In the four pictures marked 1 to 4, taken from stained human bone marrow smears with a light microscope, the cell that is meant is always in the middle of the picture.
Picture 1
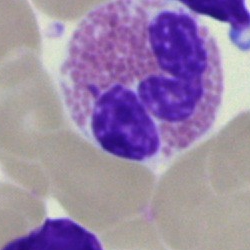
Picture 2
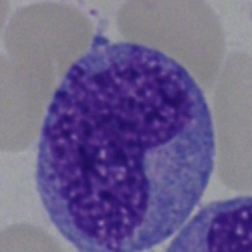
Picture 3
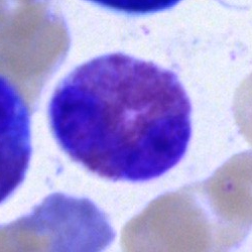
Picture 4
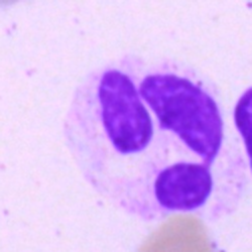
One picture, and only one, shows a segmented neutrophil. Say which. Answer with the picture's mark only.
4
